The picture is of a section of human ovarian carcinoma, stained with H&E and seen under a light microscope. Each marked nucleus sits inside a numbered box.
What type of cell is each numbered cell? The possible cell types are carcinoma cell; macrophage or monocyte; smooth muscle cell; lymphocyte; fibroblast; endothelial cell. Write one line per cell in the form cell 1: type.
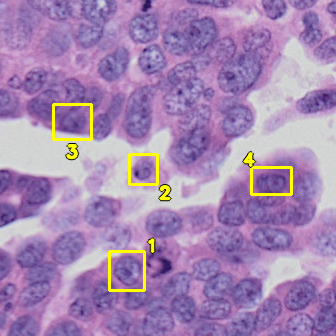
cell 1: carcinoma cell
cell 2: macrophage or monocyte
cell 3: carcinoma cell
cell 4: carcinoma cell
